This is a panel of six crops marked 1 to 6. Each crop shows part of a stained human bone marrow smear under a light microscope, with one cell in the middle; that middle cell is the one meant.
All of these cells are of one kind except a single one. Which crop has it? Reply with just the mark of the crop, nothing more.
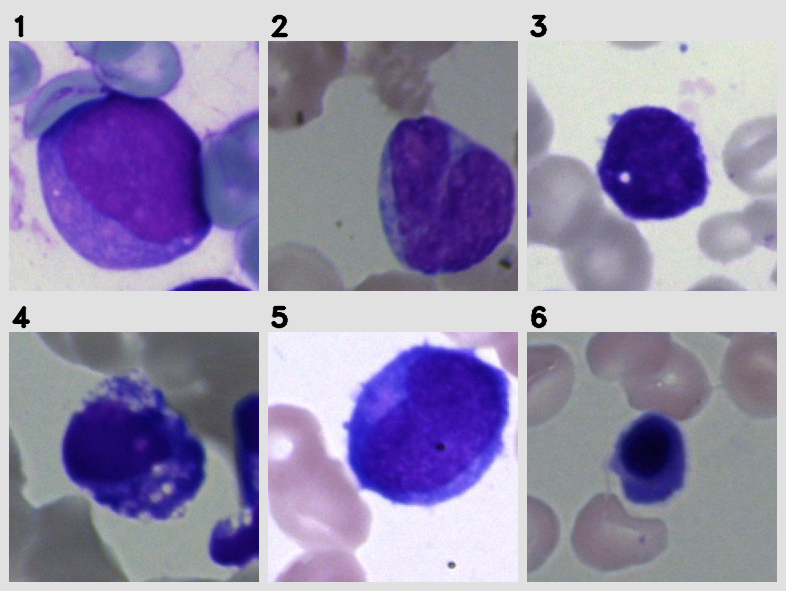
6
